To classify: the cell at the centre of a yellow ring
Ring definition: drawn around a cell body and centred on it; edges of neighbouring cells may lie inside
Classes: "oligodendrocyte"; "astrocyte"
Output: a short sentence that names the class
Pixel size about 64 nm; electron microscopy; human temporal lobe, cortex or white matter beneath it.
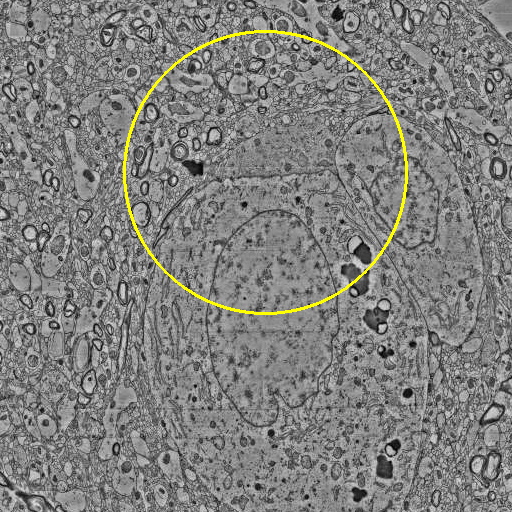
The ringed cell is an oligodendrocyte.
